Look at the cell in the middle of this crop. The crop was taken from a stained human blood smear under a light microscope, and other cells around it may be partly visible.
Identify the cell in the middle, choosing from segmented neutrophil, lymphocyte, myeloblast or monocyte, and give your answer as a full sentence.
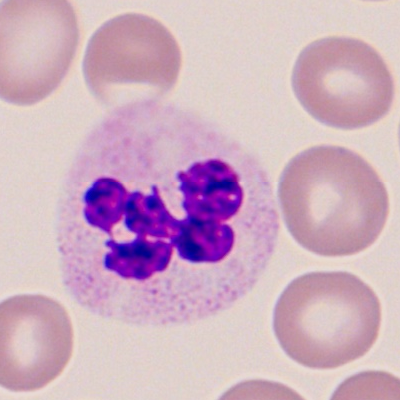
The crop's centre is taken up by a segmented neutrophil.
